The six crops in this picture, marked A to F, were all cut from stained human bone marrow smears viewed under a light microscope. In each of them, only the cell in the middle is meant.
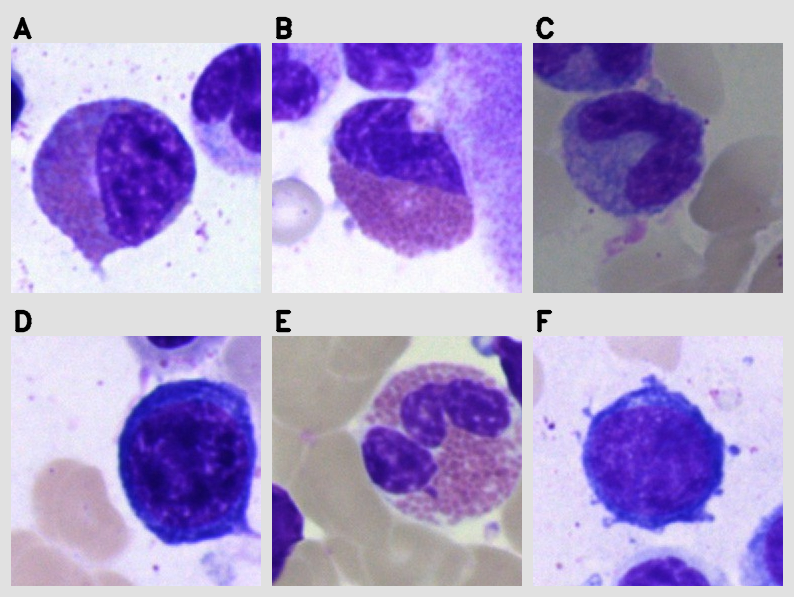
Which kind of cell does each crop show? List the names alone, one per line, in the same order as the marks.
eosinophil
eosinophil
monocyte
proerythroblast
eosinophil
proerythroblast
